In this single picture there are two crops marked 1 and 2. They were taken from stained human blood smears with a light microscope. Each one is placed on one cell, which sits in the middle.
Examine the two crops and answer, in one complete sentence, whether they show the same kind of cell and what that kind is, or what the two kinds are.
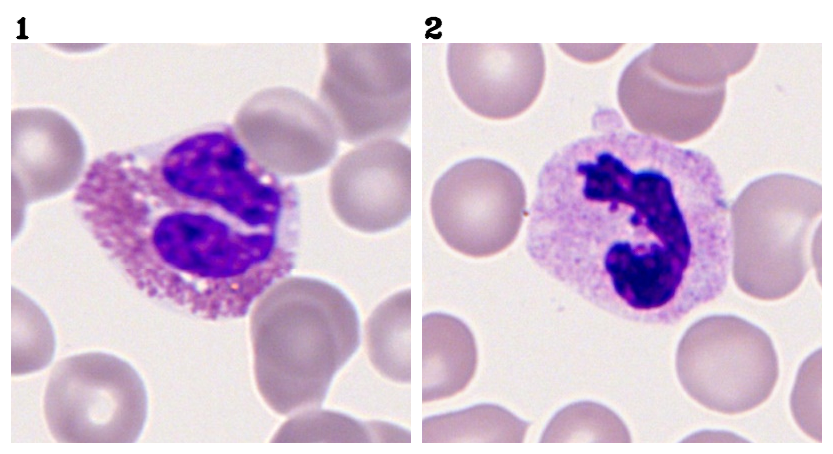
No, in crop 2 the central cell is a segmented neutrophil, and in crop 1 it is an eosinophil.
